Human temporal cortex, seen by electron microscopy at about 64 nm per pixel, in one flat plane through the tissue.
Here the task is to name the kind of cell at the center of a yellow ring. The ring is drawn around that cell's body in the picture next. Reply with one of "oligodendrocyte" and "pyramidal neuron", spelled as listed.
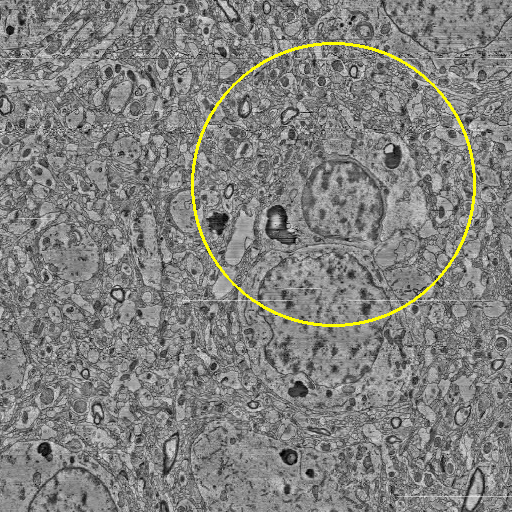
oligodendrocyte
